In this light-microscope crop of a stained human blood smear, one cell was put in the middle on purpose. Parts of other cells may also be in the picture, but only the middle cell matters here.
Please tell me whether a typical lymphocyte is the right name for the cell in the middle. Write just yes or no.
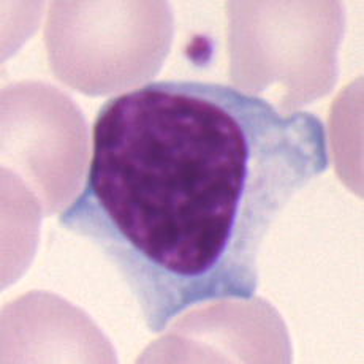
yes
